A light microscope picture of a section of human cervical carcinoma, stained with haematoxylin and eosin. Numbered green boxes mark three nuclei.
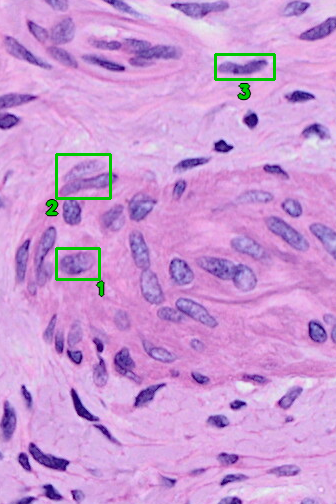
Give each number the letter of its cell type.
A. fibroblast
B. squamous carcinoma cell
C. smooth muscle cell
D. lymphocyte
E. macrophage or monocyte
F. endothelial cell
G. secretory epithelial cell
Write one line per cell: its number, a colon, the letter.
1: C
2: C
3: A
